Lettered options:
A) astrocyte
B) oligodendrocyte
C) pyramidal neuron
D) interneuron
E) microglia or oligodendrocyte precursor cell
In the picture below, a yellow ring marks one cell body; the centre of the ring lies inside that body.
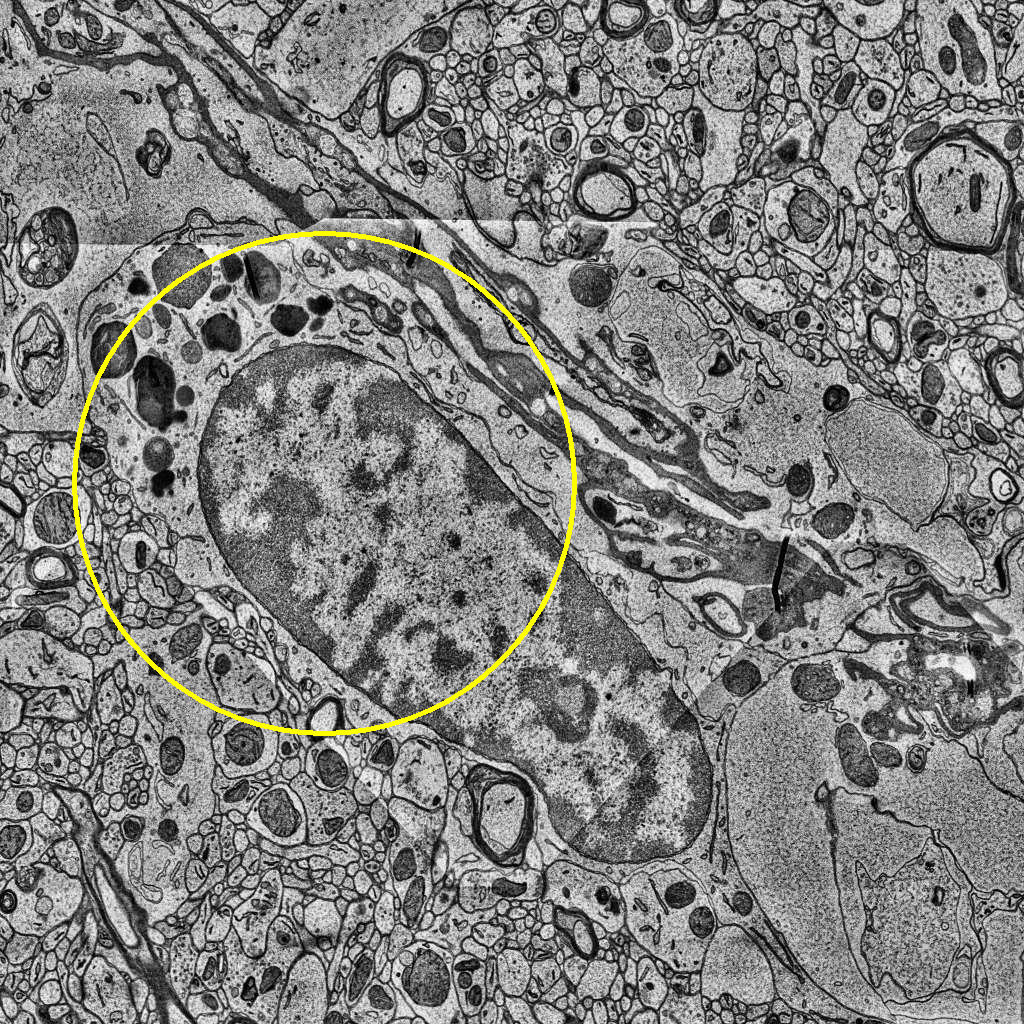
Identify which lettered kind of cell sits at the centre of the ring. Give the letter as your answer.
E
